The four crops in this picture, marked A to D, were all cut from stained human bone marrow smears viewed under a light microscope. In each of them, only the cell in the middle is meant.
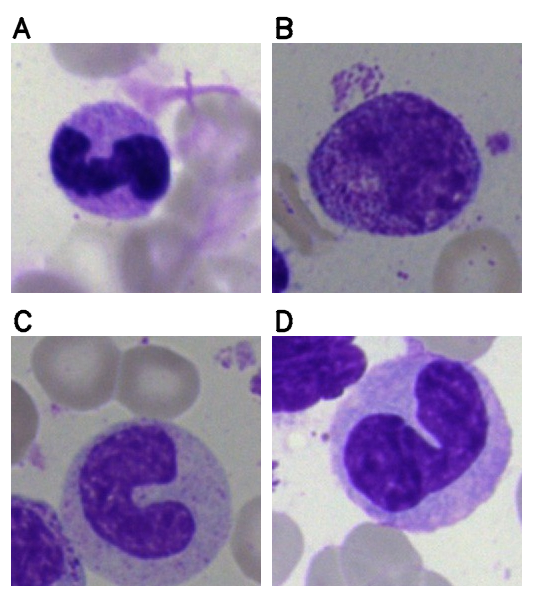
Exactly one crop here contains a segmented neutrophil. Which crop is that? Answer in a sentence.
Crop A is the one depicting a segmented neutrophil.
